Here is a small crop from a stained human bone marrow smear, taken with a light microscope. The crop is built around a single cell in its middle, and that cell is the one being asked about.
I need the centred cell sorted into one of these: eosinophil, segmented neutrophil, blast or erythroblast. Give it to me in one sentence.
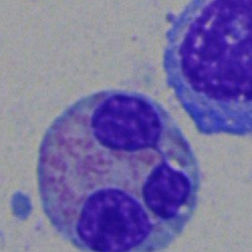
The central cell shown in this smear crop is an eosinophil.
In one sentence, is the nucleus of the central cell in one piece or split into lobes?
The nucleus is segmented, with two or more lobes present.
